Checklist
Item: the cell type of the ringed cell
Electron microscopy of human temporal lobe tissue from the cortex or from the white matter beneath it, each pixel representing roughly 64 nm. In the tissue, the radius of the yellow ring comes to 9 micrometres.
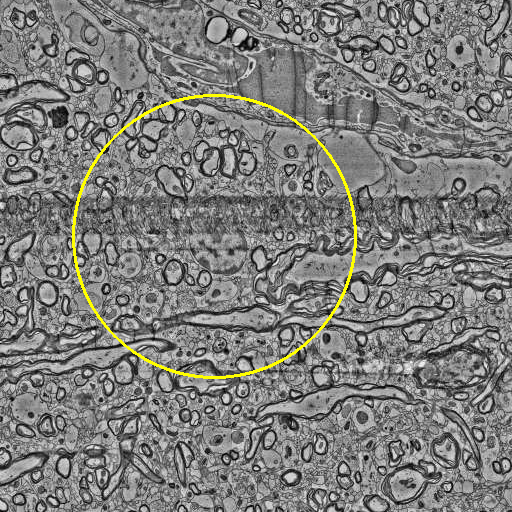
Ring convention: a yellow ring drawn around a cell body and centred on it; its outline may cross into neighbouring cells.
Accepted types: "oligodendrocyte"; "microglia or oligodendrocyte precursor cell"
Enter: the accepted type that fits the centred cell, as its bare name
microglia or oligodendrocyte precursor cell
